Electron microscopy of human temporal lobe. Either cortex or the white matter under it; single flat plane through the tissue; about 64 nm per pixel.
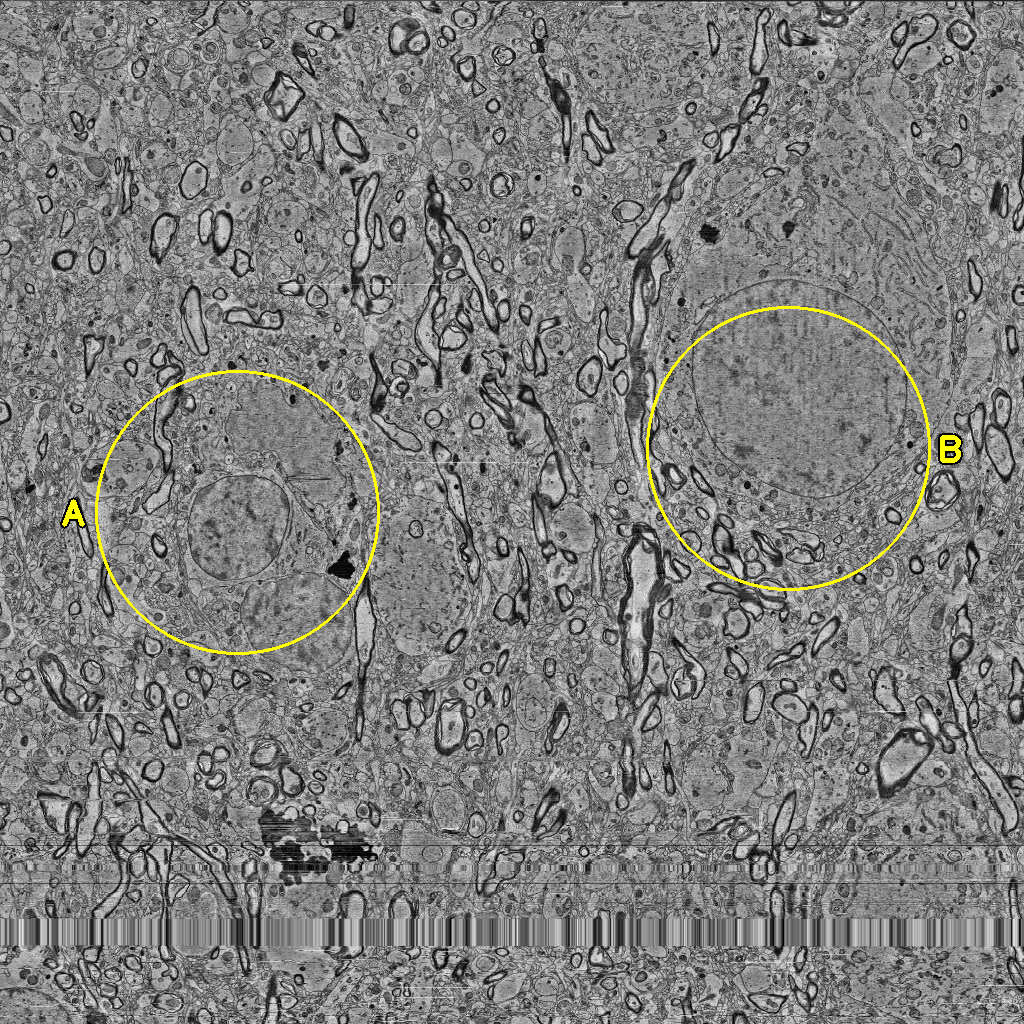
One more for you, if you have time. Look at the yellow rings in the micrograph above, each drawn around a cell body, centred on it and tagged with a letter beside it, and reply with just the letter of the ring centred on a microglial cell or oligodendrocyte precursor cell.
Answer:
A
